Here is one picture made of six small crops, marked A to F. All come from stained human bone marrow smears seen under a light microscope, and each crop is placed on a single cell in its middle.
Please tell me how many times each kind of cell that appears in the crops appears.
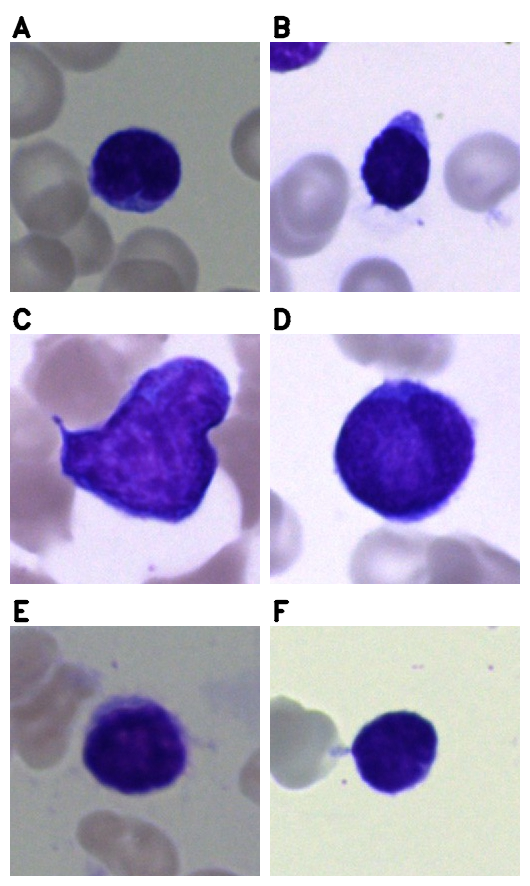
lymphocyte: 4
blast: 2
